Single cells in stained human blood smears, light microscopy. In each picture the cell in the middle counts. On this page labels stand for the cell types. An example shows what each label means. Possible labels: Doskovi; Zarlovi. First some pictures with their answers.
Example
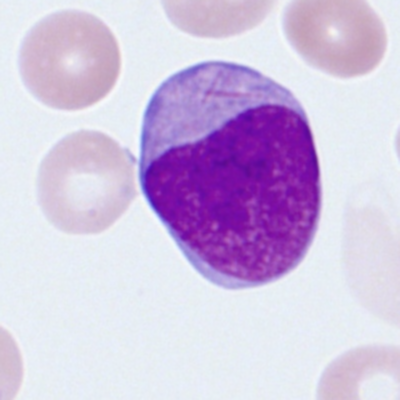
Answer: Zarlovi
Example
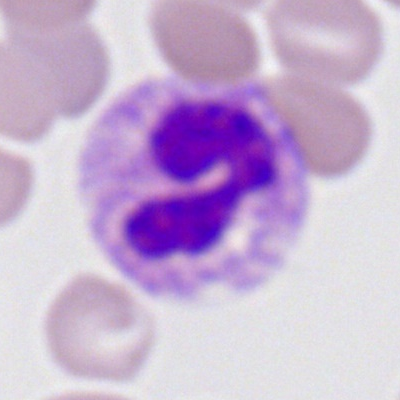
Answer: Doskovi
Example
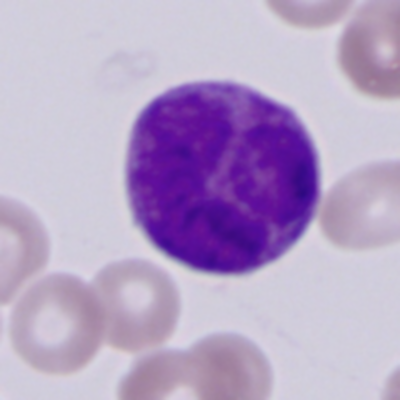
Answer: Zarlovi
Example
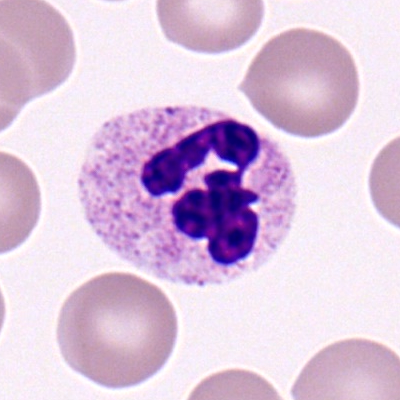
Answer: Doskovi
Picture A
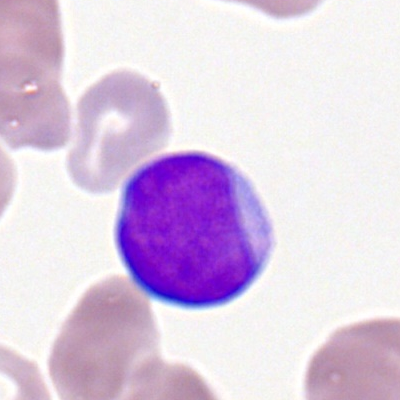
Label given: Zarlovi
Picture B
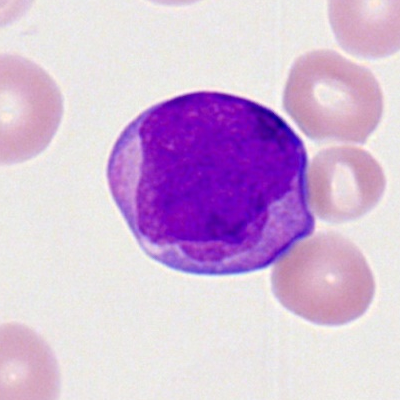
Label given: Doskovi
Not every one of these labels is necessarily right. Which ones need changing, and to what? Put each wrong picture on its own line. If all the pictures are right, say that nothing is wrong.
B: change Doskovi to Zarlovi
